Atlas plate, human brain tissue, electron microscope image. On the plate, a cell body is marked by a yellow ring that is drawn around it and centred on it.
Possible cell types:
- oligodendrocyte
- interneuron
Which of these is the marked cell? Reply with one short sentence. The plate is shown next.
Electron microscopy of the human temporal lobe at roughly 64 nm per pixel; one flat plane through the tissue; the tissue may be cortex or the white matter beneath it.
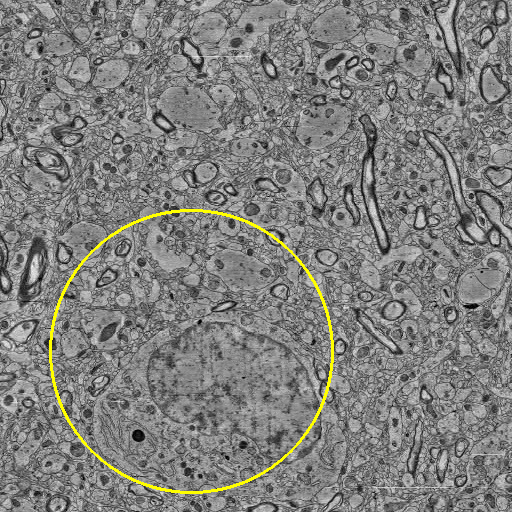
The marked cell is an interneuron.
